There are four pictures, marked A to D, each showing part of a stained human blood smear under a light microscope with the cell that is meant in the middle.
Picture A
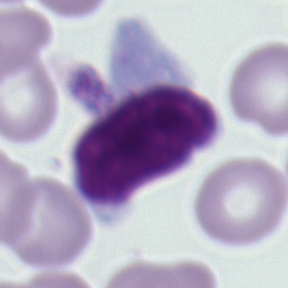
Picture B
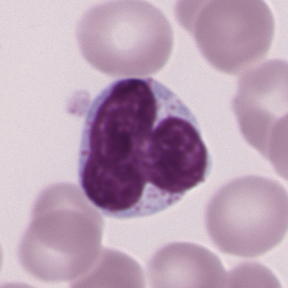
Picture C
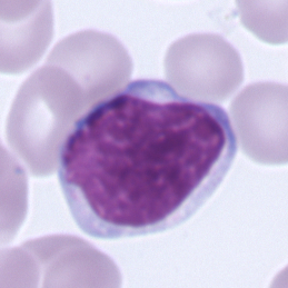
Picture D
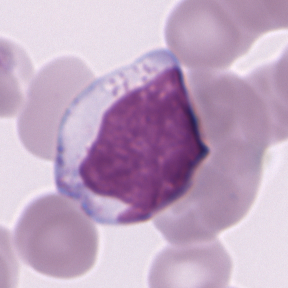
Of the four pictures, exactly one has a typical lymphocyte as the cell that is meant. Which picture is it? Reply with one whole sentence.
The cell in picture A is the typical lymphocyte.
